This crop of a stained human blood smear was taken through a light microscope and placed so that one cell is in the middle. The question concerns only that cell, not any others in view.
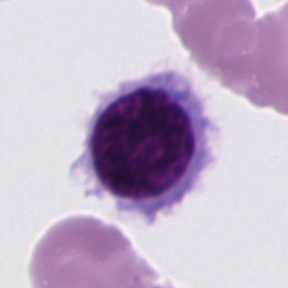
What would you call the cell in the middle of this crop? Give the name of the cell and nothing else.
hairy cell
